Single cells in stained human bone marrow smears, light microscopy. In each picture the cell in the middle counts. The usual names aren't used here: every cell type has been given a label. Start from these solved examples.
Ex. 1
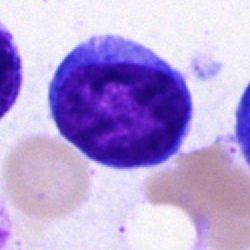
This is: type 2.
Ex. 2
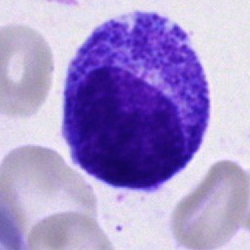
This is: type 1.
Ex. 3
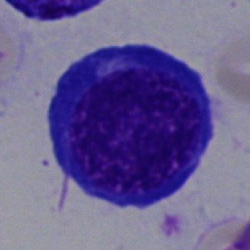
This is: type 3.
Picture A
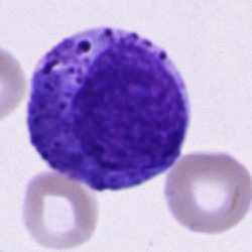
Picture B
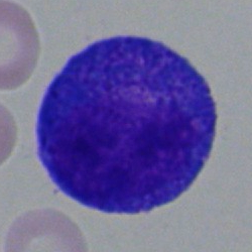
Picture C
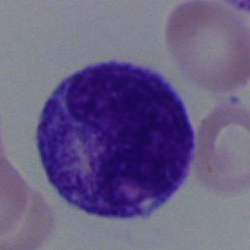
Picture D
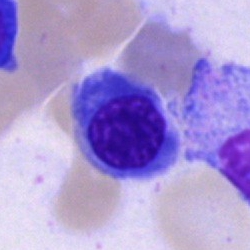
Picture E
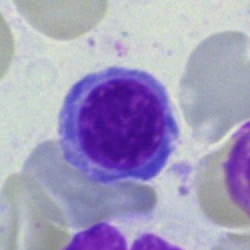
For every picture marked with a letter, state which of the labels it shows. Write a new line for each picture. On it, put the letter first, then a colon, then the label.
A: type 1.
B: type 1.
C: type 1.
D: type 3.
E: type 3.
